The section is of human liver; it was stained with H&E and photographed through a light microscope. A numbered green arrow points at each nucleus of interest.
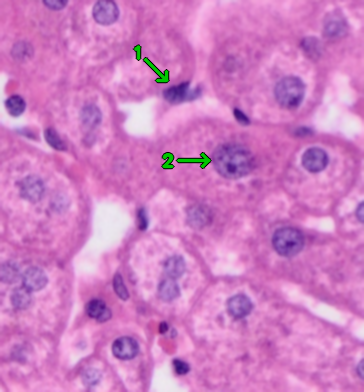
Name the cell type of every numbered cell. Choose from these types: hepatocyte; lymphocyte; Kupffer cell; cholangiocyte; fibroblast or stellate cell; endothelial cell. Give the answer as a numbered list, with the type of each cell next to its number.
1. fibroblast or stellate cell
2. hepatocyte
